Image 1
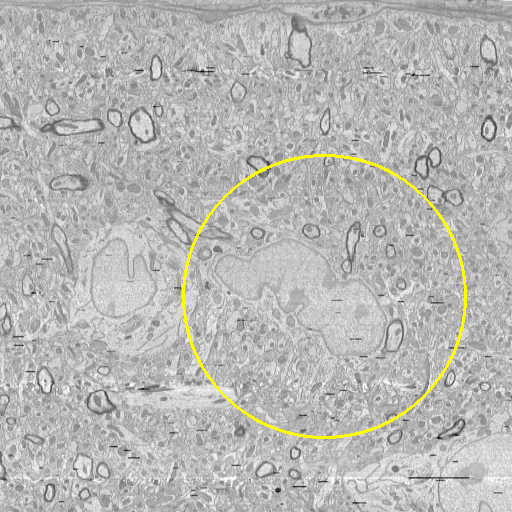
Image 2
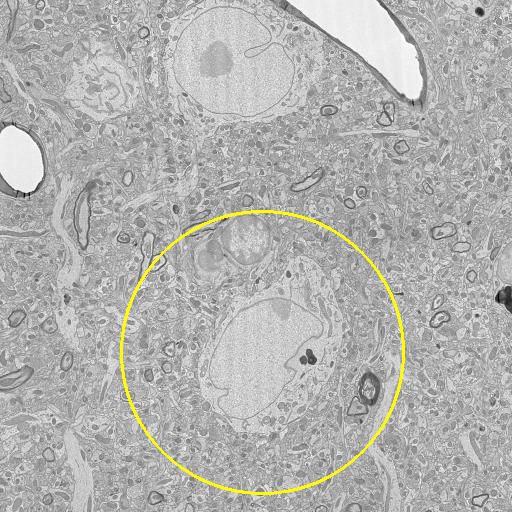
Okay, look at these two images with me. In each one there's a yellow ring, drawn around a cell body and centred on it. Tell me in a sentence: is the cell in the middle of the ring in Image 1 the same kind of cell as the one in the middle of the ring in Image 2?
No, they're two kinds of cell.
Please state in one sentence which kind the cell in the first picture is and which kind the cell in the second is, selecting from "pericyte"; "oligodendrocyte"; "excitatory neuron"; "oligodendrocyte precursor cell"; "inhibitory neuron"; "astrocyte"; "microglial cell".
The first ringed cell is an oligodendrocyte precursor cell, the second ringed cell an excitatory neuron.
